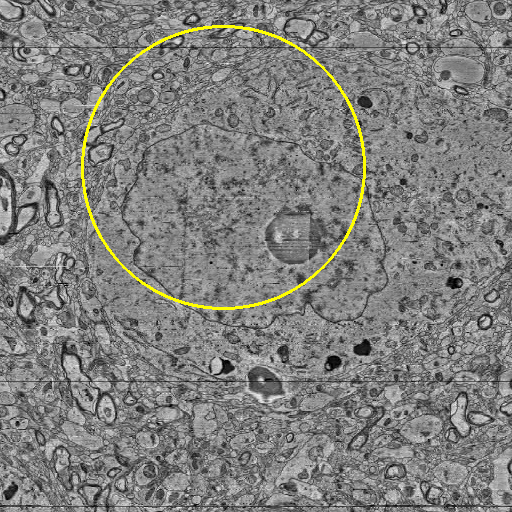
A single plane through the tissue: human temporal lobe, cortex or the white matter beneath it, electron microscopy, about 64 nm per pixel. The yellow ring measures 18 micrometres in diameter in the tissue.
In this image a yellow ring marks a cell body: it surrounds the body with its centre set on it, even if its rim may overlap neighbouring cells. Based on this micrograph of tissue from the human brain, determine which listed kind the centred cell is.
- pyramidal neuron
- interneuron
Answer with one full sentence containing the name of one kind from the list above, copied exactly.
It is a pyramidal neuron whose body the yellow ring encloses at its centre.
